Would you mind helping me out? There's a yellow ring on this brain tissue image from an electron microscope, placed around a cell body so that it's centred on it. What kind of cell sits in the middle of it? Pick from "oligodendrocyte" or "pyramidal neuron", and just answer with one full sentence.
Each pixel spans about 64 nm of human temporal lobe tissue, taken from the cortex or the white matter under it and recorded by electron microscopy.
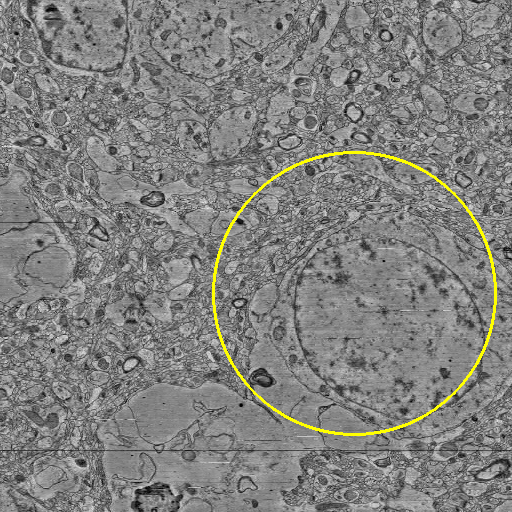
What sits in the middle of that yellow ring is a pyramidal neuron, from your choices.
